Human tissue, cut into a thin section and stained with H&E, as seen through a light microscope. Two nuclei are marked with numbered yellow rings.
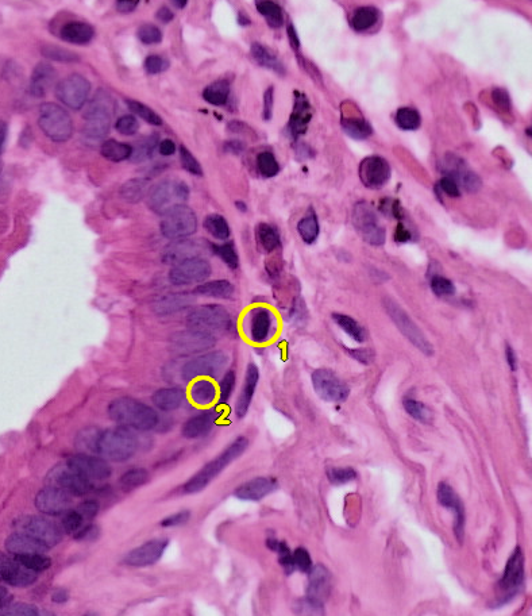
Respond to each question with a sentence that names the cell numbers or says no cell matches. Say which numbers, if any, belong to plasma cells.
Only cell 1 should be marked as a plasma cell.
